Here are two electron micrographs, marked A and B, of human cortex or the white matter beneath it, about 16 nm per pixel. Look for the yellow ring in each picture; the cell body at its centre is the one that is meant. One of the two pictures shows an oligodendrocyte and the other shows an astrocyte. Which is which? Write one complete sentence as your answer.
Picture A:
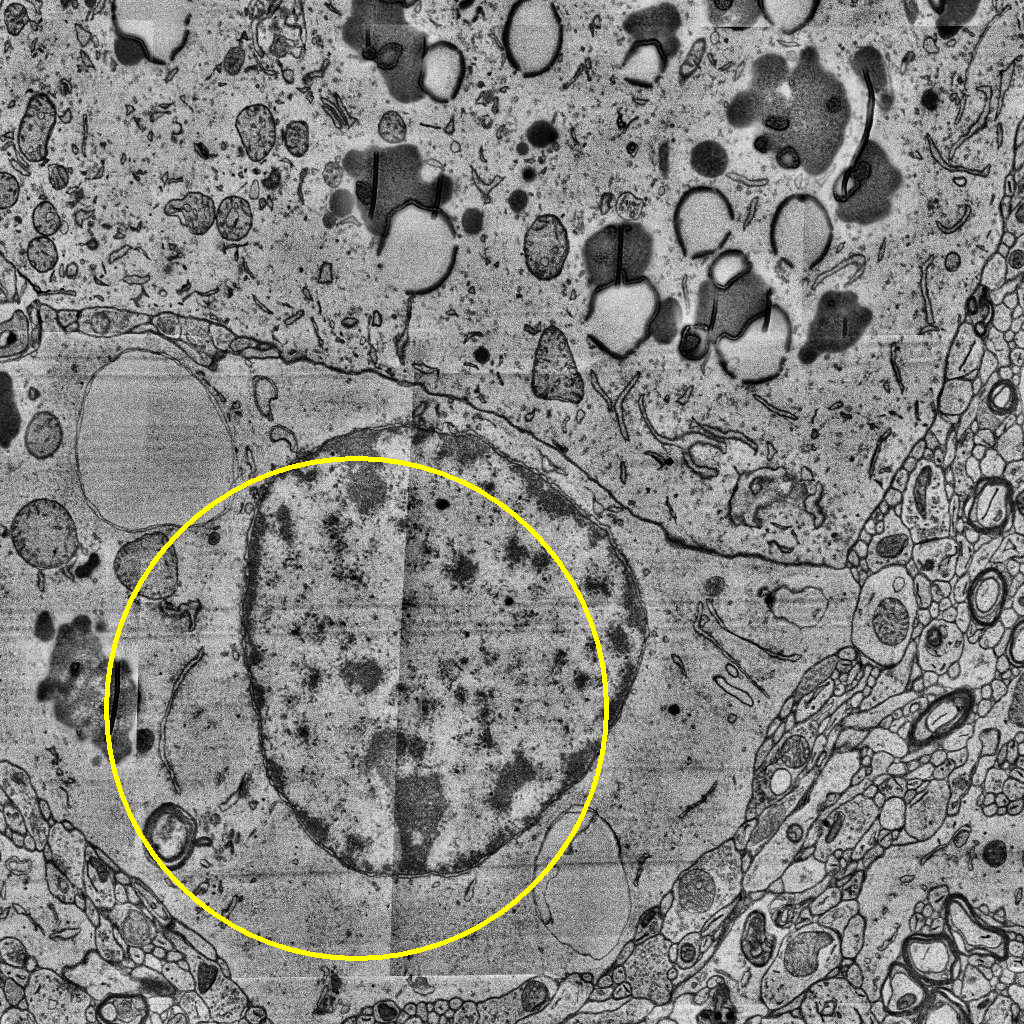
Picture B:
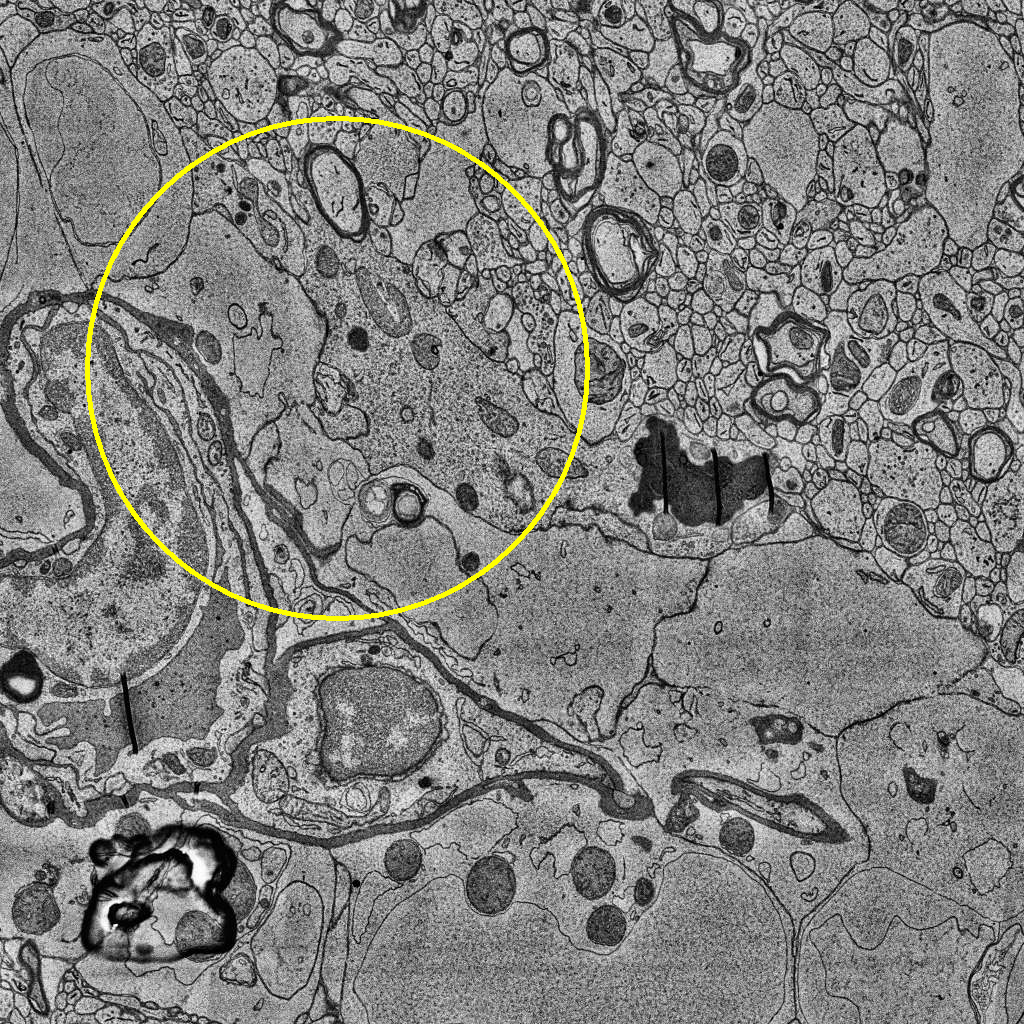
Picture A is of an astrocyte, and picture B is of an oligodendrocyte.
